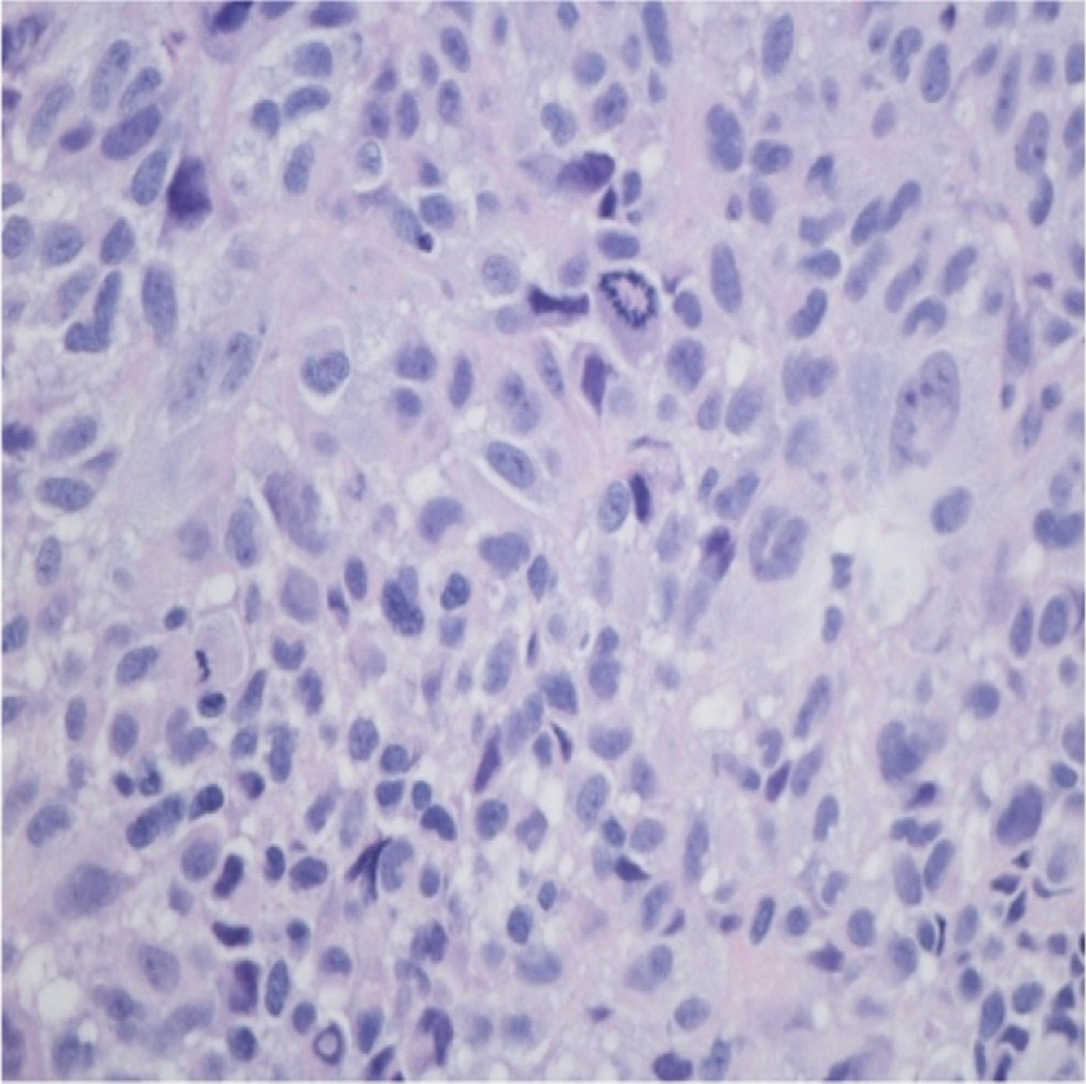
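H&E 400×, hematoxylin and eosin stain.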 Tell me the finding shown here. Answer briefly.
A: nuclear pleomorphism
